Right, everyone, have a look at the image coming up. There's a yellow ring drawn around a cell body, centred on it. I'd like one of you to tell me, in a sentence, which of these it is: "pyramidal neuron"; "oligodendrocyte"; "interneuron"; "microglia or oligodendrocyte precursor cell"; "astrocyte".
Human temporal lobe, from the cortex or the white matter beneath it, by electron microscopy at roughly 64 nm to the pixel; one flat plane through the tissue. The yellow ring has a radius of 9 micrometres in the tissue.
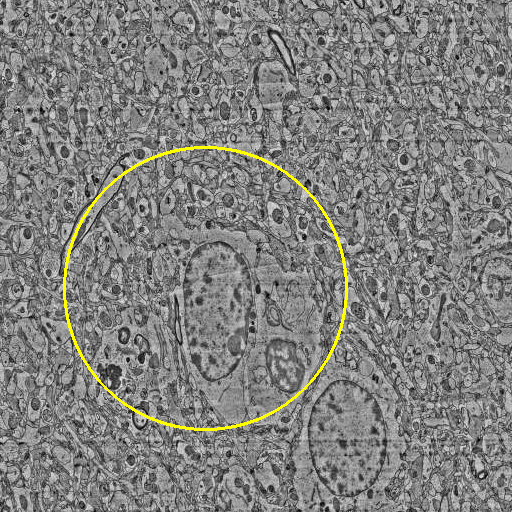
The yellow ring sits on an astrocyte.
